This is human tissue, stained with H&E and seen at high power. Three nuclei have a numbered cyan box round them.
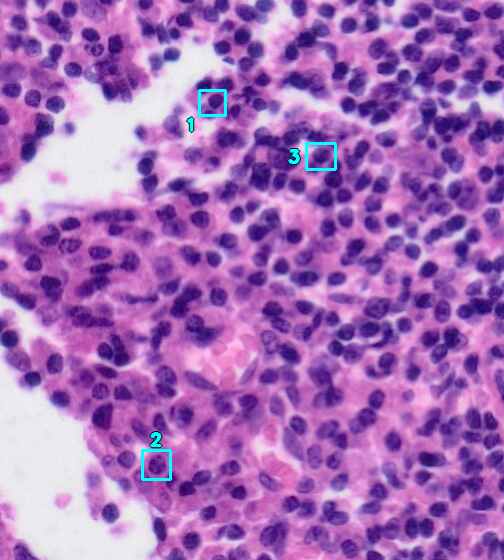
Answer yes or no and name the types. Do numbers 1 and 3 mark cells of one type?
Yes, it is true that cells 1 and 3 are both small lymphocytes.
